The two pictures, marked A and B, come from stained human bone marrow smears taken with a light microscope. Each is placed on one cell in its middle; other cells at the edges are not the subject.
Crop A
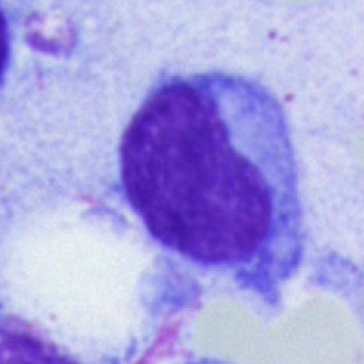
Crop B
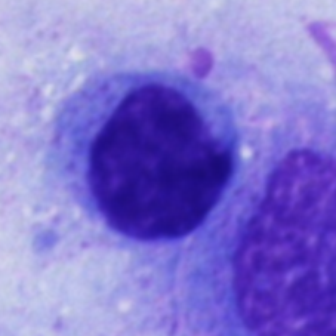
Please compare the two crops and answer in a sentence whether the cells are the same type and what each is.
No, crop A shows a hairy cell, whereas a plasma cell is what crop B shows.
